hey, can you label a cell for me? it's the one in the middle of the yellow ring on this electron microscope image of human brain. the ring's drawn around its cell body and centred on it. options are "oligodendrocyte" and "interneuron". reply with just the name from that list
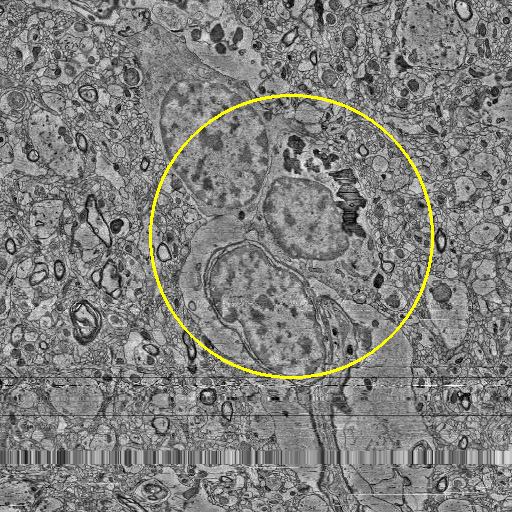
oligodendrocyte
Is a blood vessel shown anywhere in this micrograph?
Yes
